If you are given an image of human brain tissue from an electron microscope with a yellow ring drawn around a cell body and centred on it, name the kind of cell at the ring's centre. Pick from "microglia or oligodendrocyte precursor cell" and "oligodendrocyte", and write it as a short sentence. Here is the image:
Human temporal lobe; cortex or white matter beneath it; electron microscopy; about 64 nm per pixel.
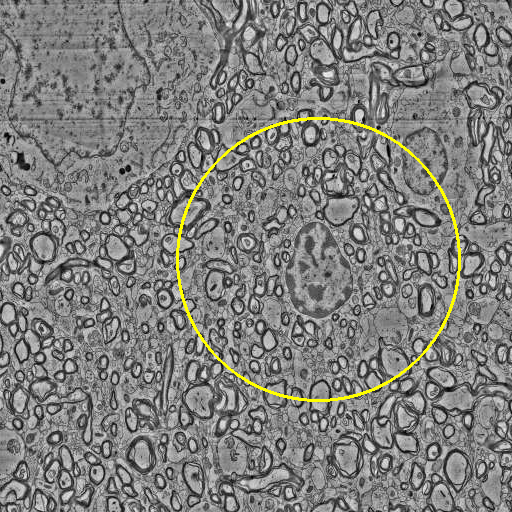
The cell at the ring's centre is a microglial cell or oligodendrocyte precursor cell.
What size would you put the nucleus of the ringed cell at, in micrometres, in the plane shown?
In this plane, about 6 micrometres in length and 4 in width.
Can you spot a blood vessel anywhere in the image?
No.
